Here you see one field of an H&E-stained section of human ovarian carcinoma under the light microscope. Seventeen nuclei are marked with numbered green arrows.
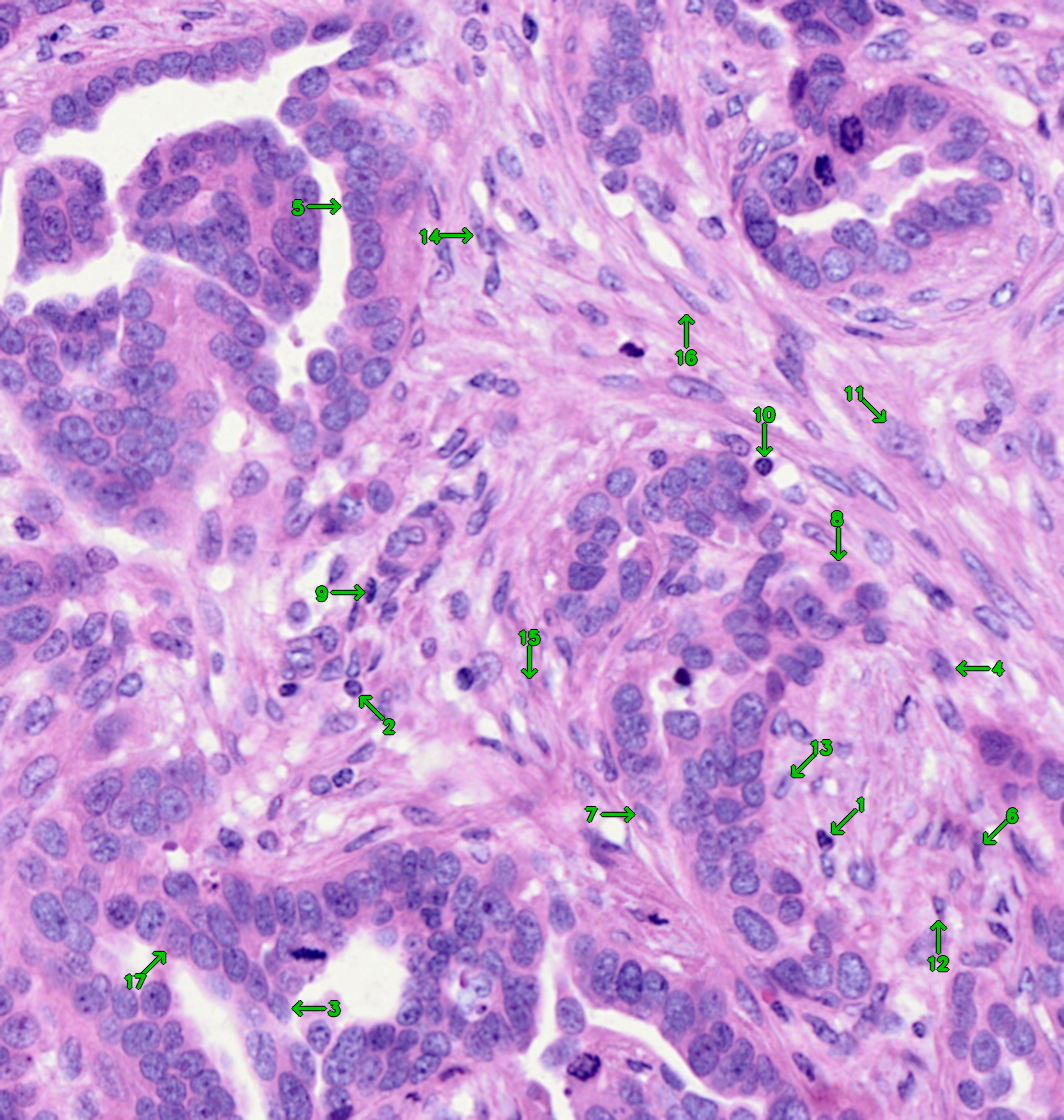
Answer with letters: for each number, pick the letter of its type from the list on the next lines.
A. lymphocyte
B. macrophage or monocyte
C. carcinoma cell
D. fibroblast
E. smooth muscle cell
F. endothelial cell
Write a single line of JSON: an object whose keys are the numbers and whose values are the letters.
{"1": "A", "2": "A", "3": "C", "4": "D", "5": "C", "6": "D", "7": "D", "8": "C", "9": "A", "10": "A", "11": "D", "12": "D", "13": "D", "14": "D", "15": "D", "16": "D", "17": "C"}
